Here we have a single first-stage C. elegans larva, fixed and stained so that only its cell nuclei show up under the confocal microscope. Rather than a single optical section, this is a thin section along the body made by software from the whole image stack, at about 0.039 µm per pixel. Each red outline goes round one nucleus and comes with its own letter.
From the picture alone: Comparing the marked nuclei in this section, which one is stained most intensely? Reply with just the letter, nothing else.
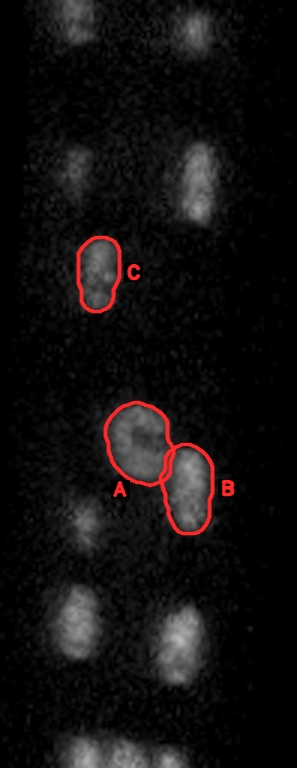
B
